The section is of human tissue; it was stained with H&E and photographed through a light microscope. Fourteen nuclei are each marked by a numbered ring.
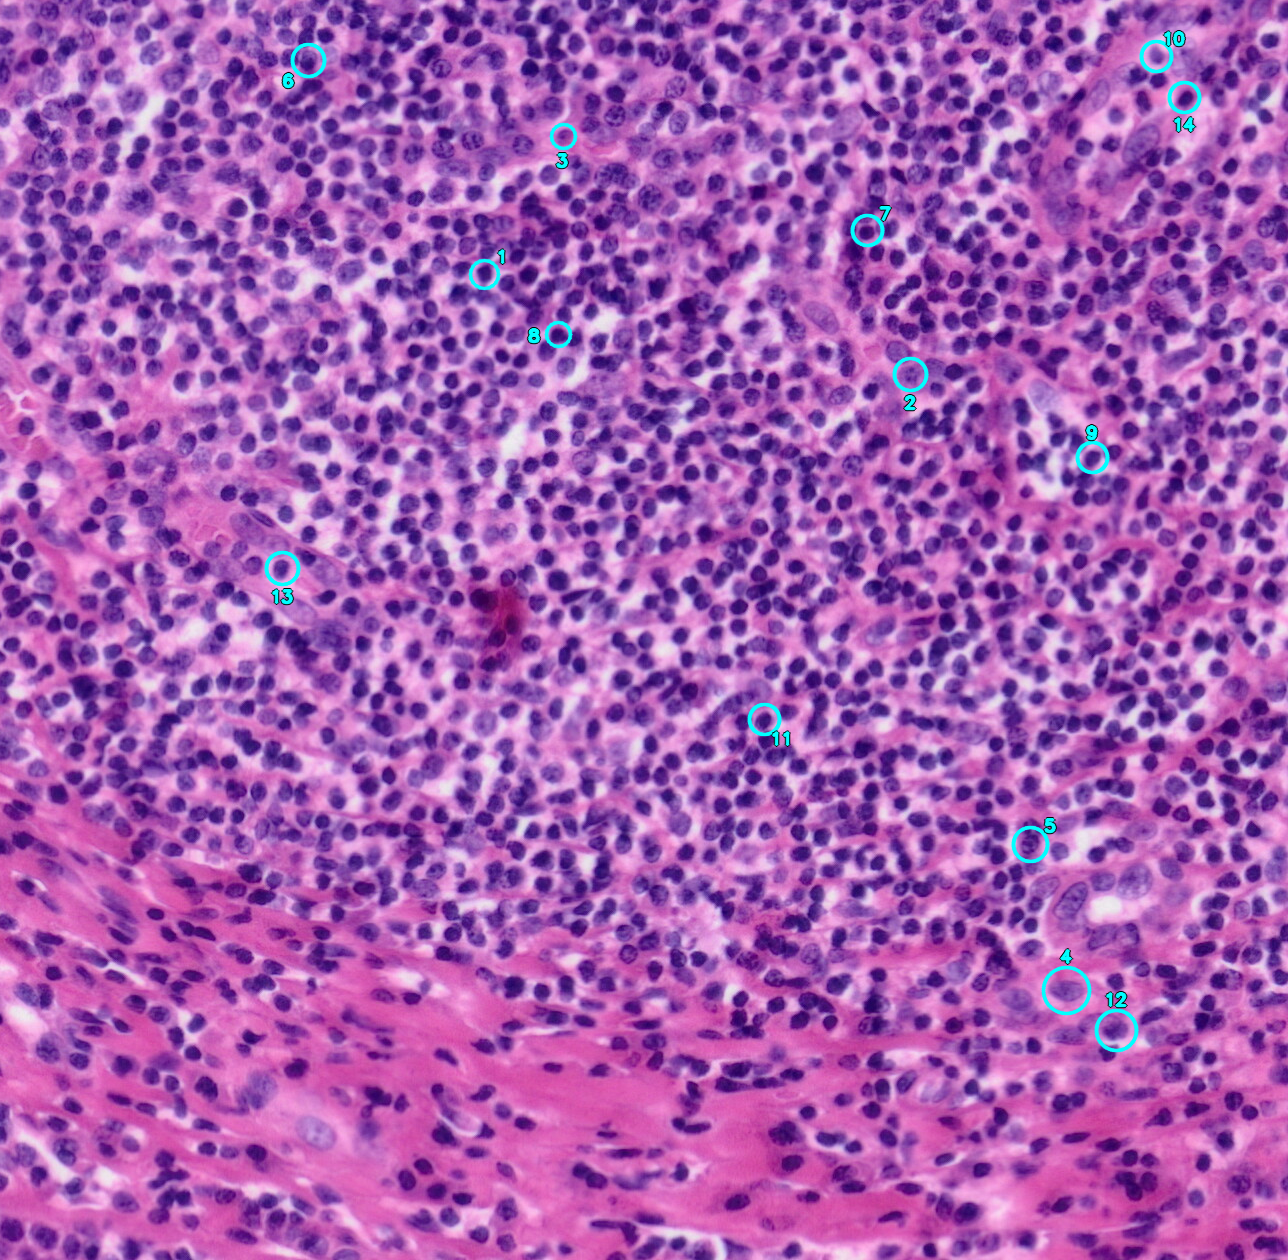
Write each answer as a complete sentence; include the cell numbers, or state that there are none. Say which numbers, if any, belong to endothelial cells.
In terms of cell type, cells 2, 3, 4, 10, 12, 13 and 14 are endothelial cells.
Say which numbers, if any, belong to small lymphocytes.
Cells 1, 6, 7, 8, 9 and 11 are recognised here as small lymphocytes.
